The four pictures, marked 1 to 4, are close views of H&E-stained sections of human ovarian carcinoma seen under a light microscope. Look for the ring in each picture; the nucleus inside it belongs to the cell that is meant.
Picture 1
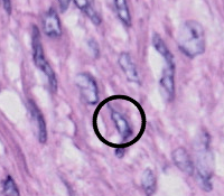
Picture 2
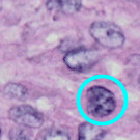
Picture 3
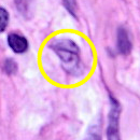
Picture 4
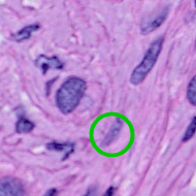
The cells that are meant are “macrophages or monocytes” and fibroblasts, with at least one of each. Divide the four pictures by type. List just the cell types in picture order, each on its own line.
fibroblast
macrophage or monocyte
fibroblast
fibroblast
